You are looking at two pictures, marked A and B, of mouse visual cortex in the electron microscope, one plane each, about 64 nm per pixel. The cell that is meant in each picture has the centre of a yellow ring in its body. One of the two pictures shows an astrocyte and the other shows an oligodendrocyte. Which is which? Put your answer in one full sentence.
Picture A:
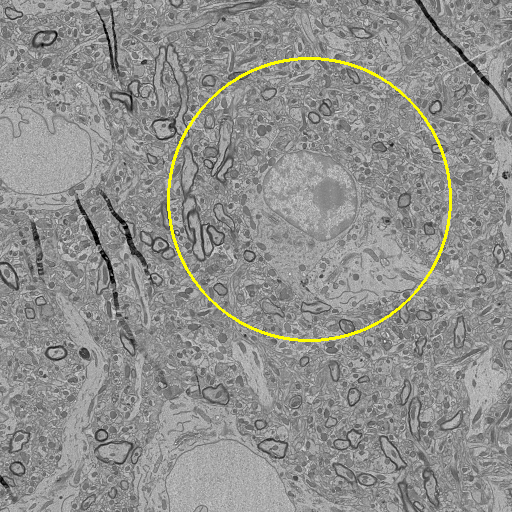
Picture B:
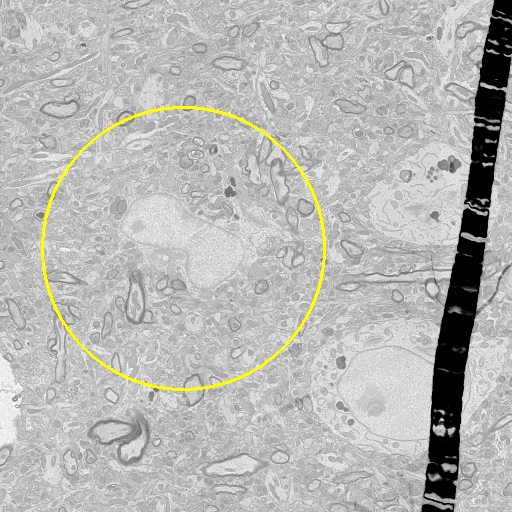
The cell in picture A is an oligodendrocyte, and the one in picture B is an astrocyte.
